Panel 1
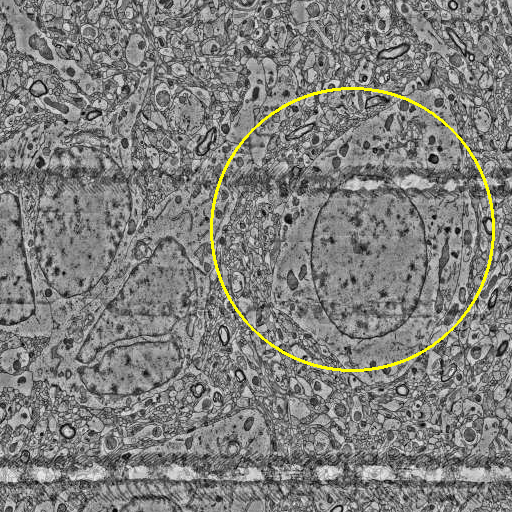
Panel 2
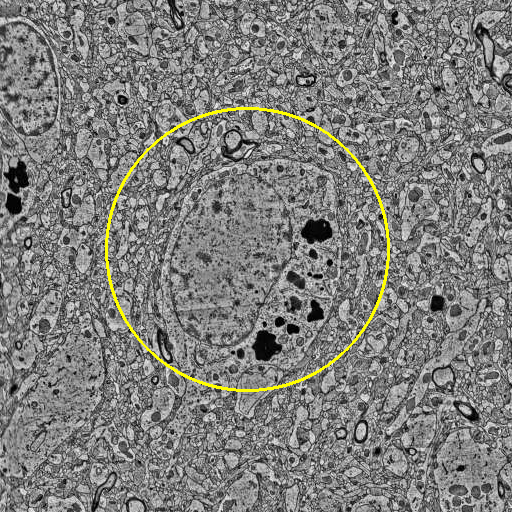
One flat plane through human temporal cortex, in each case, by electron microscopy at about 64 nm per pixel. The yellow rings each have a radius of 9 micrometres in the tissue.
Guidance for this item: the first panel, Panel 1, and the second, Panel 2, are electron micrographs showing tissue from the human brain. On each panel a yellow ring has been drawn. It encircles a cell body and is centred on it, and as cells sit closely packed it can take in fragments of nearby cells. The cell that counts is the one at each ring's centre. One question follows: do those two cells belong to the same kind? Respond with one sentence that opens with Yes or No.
No, the cells at the ring centres in Panel 1 and Panel 2 are of two kinds.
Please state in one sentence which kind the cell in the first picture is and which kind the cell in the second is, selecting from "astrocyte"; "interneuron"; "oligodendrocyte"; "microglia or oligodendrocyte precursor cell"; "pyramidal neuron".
The first ringed cell is a pyramidal neuron, the second ringed cell an interneuron.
